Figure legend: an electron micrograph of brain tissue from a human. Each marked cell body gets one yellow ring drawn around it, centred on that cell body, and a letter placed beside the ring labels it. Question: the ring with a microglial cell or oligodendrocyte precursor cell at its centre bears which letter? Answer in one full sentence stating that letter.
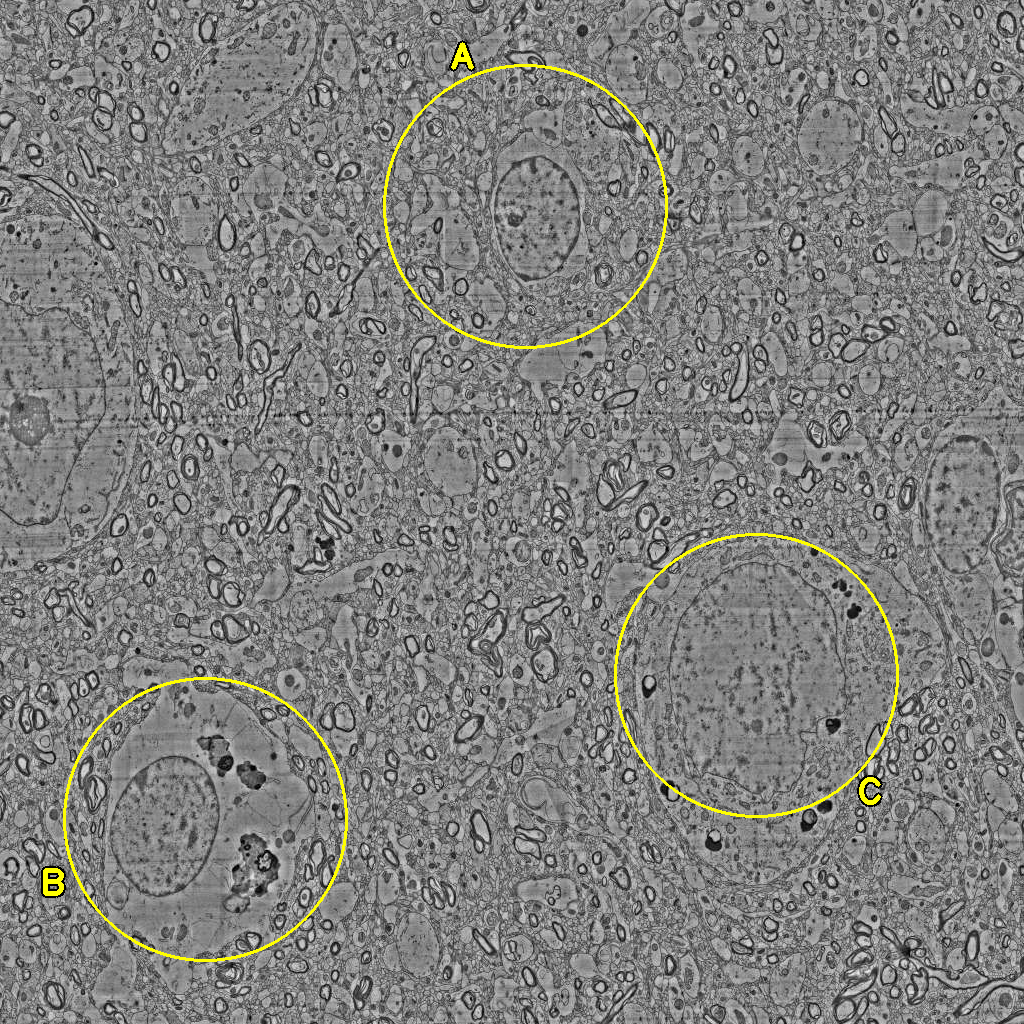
Labelled A is the ring whose centre holds the cell asked for in this picture.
